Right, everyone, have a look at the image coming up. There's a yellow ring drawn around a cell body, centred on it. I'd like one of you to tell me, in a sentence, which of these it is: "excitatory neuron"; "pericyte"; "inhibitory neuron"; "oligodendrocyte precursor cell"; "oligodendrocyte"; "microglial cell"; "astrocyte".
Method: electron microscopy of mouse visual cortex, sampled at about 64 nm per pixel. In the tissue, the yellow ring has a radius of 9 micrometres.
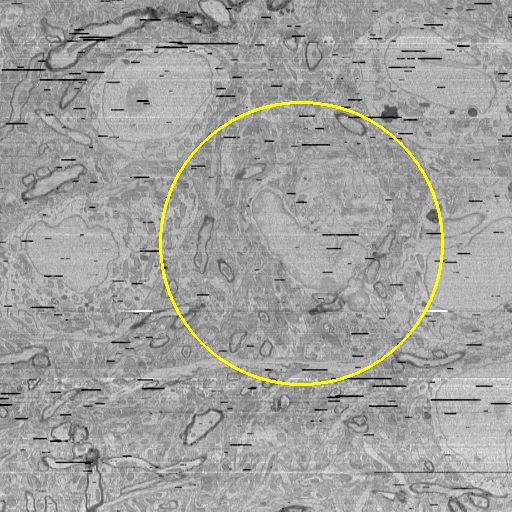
The yellow ring sits on an oligodendrocyte precursor cell.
